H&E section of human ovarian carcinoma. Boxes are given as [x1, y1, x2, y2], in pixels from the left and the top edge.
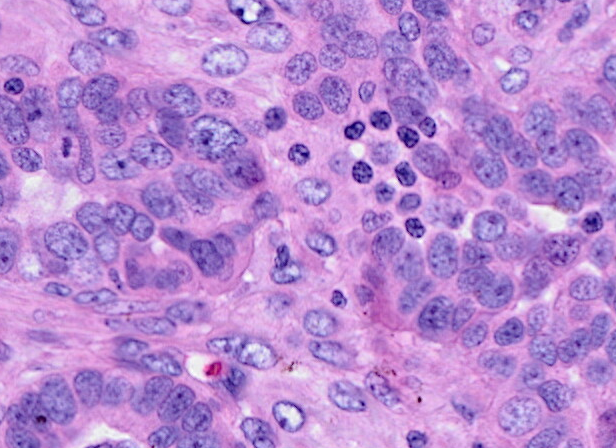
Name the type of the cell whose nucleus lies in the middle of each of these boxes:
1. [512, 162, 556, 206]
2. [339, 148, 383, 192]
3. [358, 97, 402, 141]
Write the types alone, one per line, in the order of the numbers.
carcinoma cell
lymphocyte
lymphocyte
